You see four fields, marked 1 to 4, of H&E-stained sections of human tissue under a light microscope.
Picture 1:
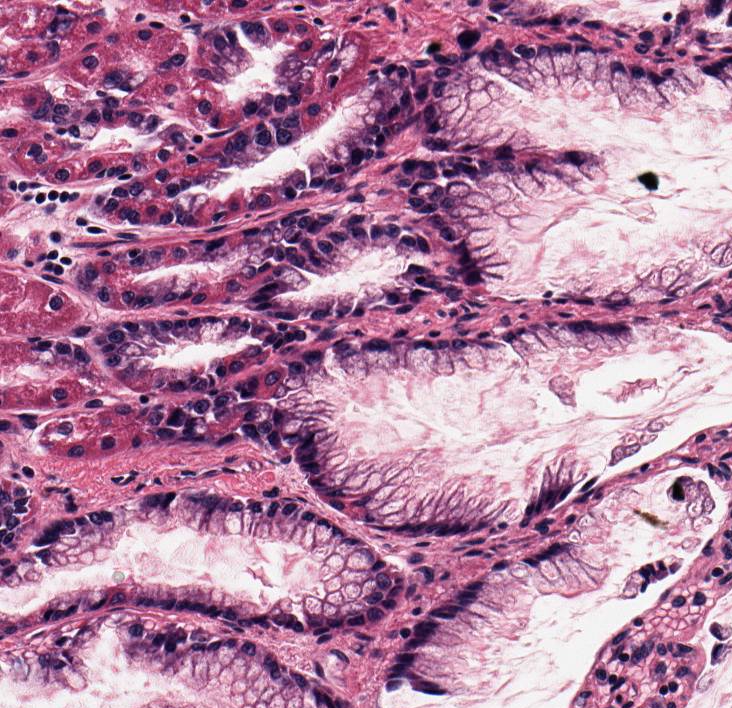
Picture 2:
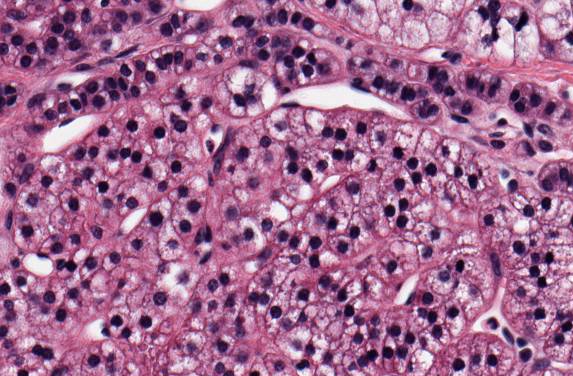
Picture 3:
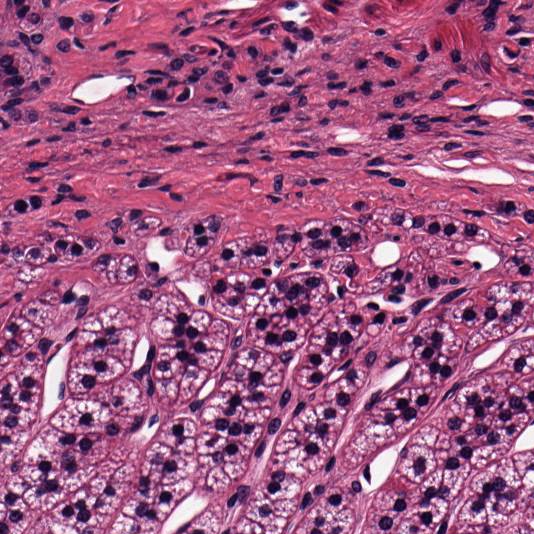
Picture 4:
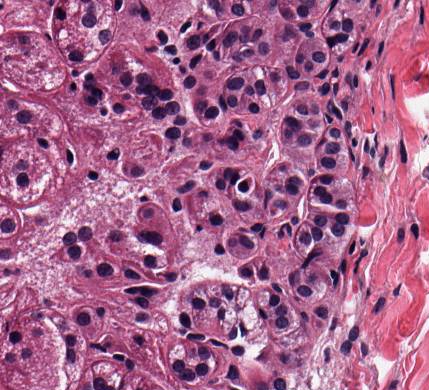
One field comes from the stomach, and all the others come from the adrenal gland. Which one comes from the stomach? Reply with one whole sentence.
Picture 1 is the field that comes from the stomach.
